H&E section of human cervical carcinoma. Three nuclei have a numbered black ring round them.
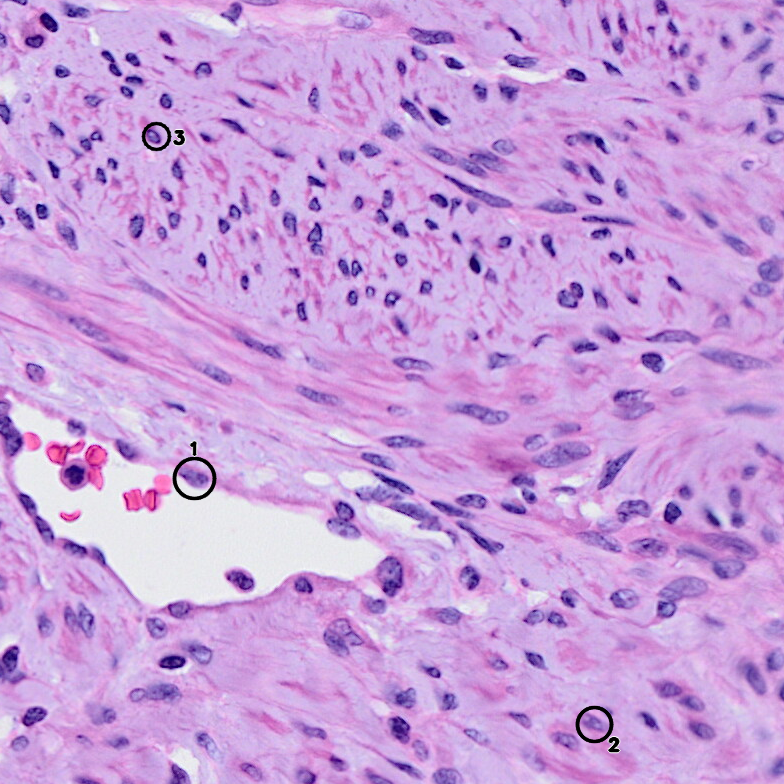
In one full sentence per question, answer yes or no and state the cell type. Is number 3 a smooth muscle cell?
Yes, the numbered cell 3 is identified as a smooth muscle cell.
